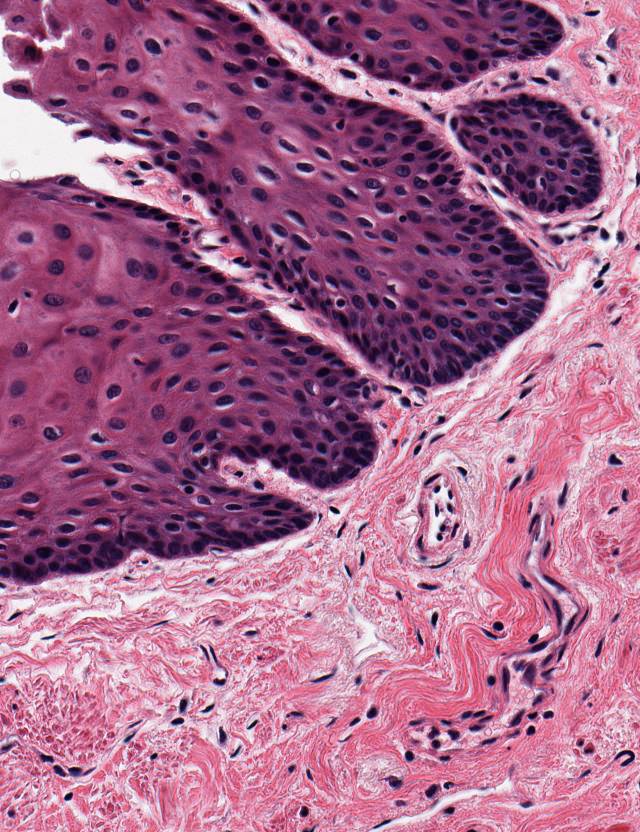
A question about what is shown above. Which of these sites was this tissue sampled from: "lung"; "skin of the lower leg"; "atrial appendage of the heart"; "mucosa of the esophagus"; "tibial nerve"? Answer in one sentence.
The site this tissue was sampled from is the mucosa of the esophagus.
